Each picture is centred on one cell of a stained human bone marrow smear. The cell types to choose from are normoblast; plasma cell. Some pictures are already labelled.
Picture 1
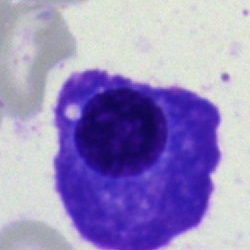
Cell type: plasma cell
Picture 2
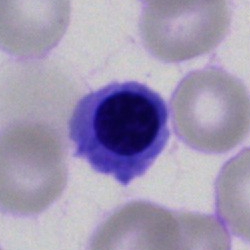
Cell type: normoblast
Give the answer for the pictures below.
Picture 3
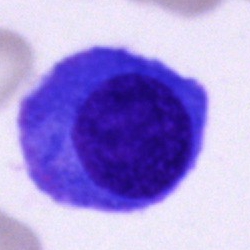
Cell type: plasma cell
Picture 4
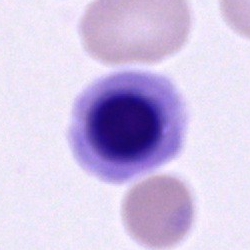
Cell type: normoblast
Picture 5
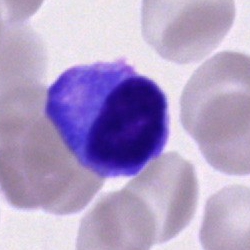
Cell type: plasma cell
